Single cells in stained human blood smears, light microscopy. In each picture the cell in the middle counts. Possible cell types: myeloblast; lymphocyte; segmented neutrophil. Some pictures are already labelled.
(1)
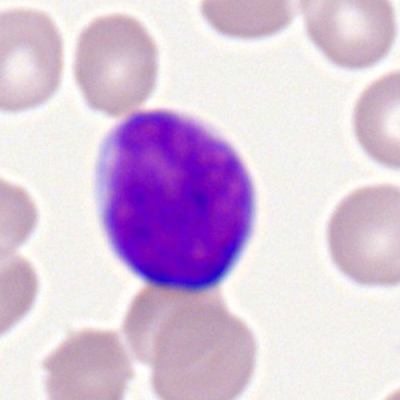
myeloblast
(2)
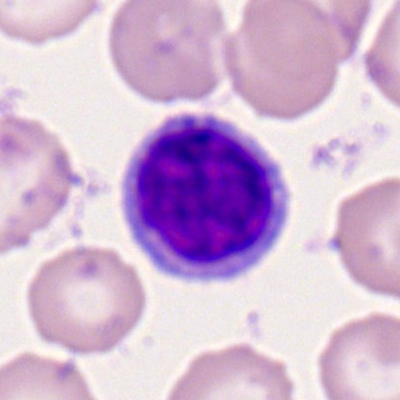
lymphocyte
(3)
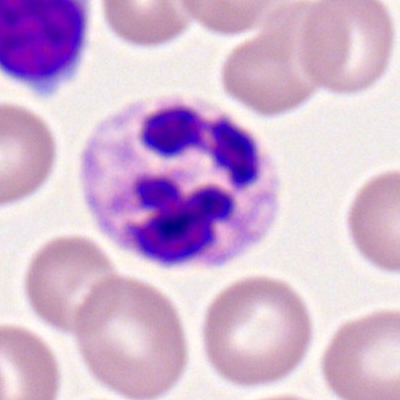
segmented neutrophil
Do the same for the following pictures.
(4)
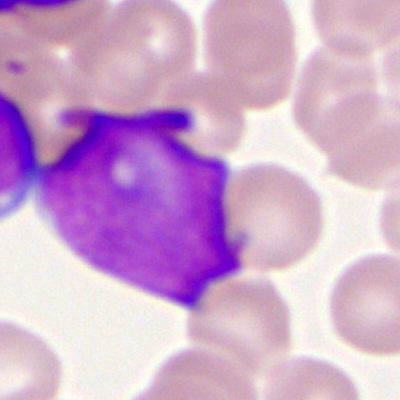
myeloblast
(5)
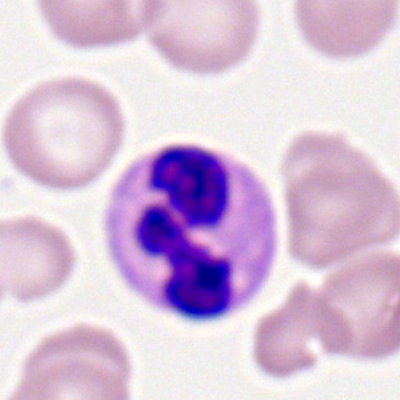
segmented neutrophil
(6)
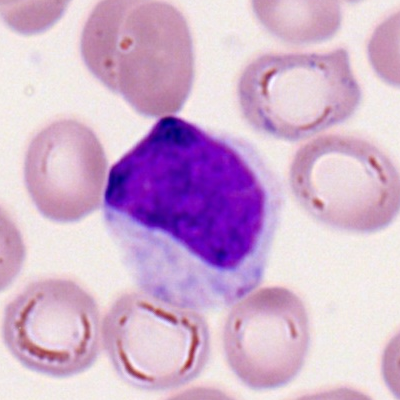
lymphocyte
